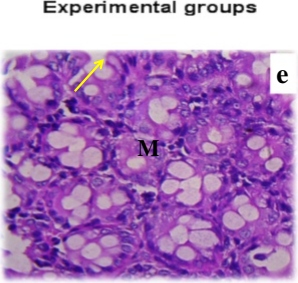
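Colonic mucosa at high power with crypts cut across, each ringed by columnar epithelial cells. Many goblet cells with large, pale, clear mucin vacuoles crowd the crypts. Epithelial nuclei are dark purple and sit at the cell bases around each crypt. Between the crypts lies pink lamina propria with scattered small dark nuclei. The crypt lining looks continuous, without obvious breaks.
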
